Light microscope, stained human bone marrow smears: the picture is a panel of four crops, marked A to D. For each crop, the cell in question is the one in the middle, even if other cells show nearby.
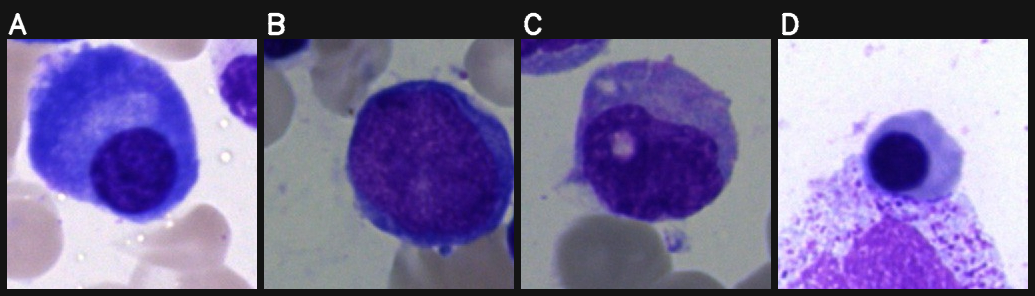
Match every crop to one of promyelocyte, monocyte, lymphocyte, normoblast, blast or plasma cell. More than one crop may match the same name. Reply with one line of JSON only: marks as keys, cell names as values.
{"A": "plasma cell", "B": "blast", "C": "monocyte", "D": "normoblast"}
